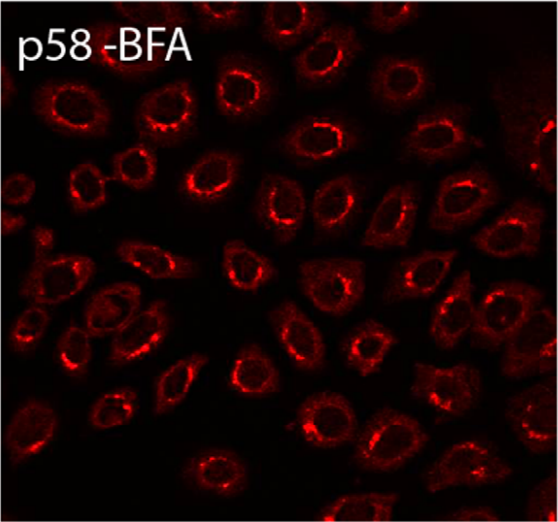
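The remaining cytoplasm shows only a faint, even red haze. The cells lie as a fairly evenly spaced monolayer, with separate cells rarely touching.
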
